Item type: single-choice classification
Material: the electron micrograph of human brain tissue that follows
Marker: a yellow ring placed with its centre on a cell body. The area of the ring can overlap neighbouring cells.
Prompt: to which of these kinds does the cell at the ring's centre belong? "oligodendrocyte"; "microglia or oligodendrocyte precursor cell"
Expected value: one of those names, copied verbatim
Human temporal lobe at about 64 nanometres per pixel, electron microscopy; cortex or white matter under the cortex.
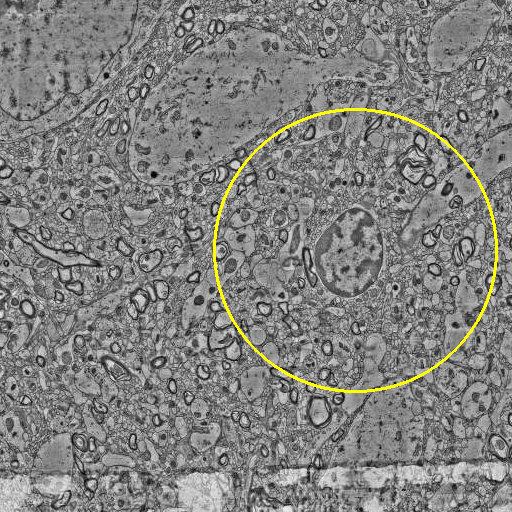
microglia or oligodendrocyte precursor cell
